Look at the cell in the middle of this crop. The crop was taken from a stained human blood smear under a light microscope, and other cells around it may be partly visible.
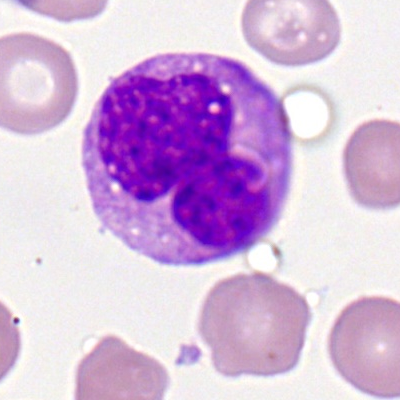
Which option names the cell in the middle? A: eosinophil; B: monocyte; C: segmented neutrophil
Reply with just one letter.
B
